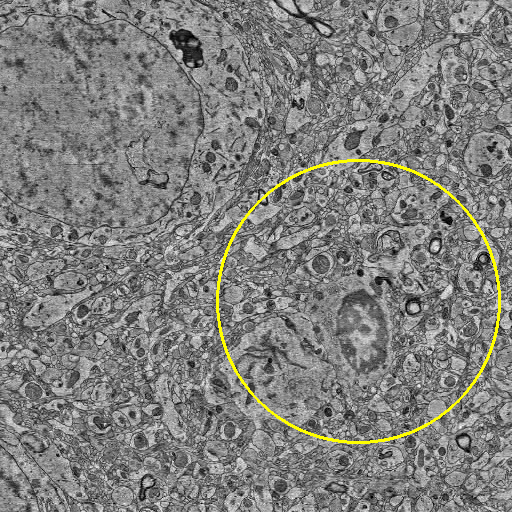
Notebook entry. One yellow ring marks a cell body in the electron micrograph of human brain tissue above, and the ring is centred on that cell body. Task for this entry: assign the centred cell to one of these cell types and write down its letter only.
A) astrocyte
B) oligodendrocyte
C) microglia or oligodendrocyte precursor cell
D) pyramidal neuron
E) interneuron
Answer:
B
